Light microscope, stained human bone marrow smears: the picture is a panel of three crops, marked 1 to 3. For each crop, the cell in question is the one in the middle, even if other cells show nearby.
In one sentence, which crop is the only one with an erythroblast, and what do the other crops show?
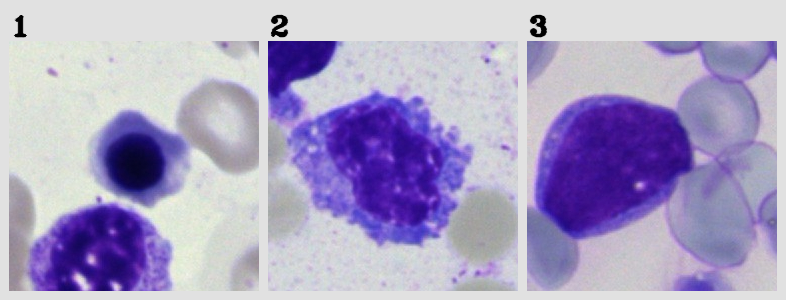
In the crop designated 1, the cell is an erythroblast, while crop 2 is a plasma cell and crop 3 is a blast.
